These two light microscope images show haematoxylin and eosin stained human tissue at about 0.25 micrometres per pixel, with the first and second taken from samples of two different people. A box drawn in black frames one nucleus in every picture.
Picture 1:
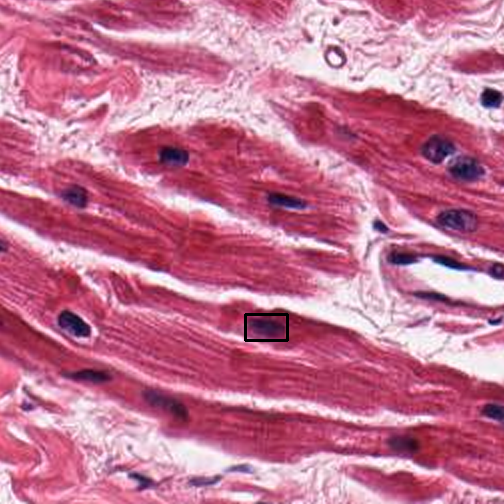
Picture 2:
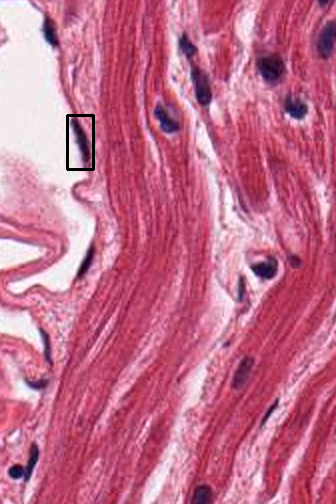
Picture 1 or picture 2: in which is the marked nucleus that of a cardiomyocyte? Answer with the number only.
1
